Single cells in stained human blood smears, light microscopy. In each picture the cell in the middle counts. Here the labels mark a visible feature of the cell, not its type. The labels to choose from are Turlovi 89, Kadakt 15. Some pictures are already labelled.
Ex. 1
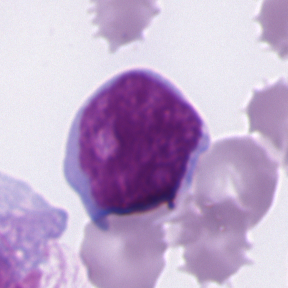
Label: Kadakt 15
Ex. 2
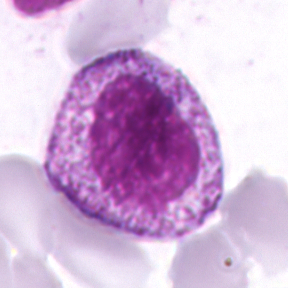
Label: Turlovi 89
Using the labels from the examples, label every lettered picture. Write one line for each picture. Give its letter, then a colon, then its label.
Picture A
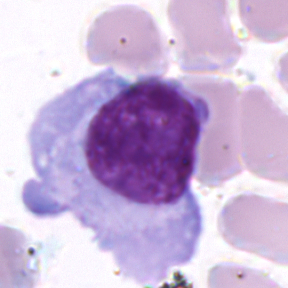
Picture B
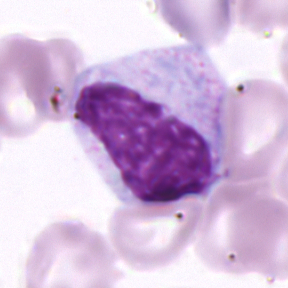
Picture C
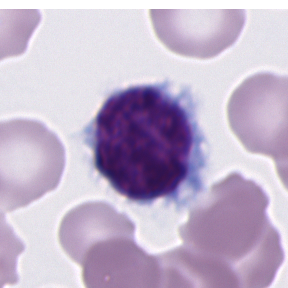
A: Turlovi 89
B: Turlovi 89
C: Kadakt 15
